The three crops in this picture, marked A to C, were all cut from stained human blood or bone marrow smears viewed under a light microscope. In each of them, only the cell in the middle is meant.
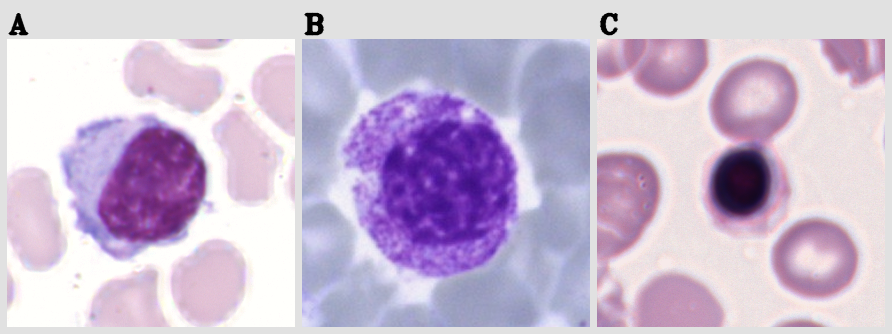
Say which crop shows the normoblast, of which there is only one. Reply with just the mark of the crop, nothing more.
C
